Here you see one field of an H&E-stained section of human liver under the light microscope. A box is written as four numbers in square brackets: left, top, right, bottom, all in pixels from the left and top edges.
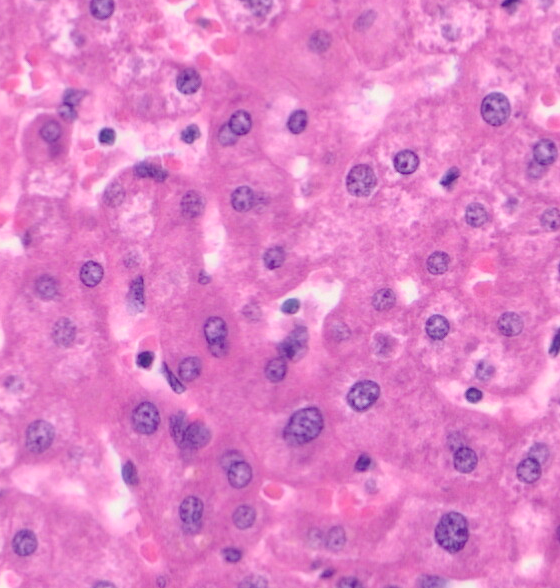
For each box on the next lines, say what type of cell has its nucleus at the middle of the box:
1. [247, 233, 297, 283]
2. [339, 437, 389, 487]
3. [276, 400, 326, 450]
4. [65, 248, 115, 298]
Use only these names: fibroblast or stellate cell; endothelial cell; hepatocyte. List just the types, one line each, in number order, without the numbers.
hepatocyte
fibroblast or stellate cell
hepatocyte
hepatocyte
